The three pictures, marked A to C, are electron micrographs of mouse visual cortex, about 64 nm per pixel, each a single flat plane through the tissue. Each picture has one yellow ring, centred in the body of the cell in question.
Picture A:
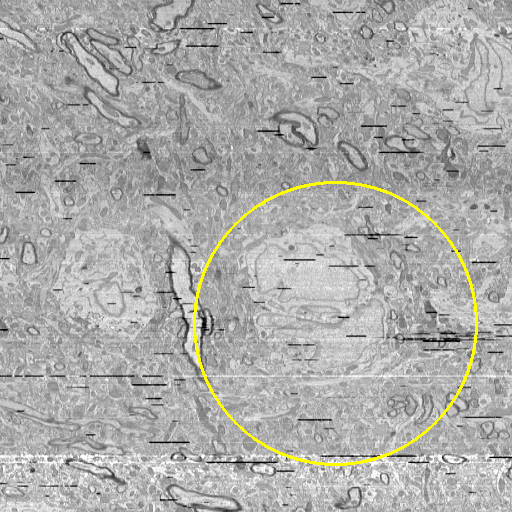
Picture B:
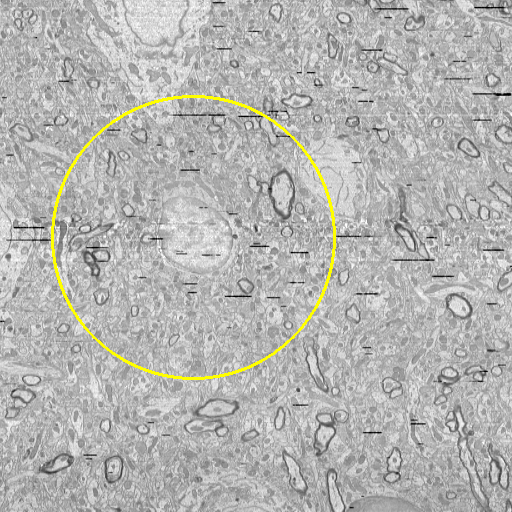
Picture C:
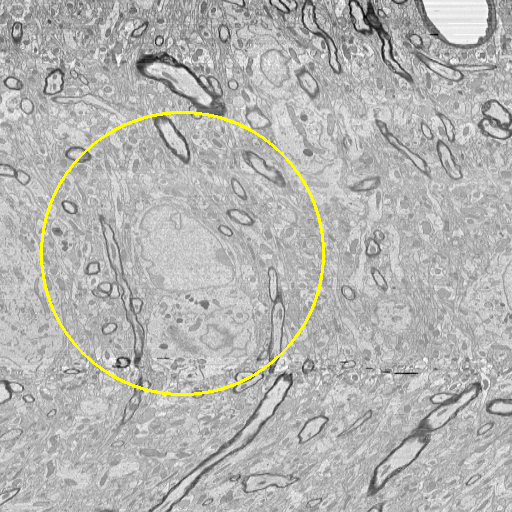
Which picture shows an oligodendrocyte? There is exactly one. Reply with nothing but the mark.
B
